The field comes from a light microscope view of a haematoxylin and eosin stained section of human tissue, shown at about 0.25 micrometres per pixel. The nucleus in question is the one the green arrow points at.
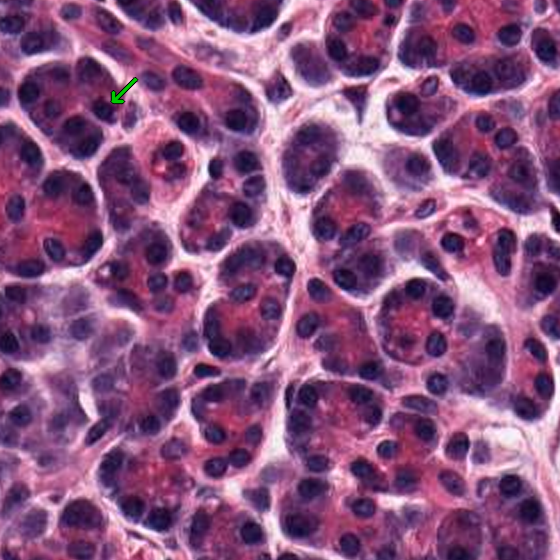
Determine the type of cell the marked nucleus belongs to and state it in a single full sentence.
The marked nucleus is the nucleus of a pancreatic acinar cell.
